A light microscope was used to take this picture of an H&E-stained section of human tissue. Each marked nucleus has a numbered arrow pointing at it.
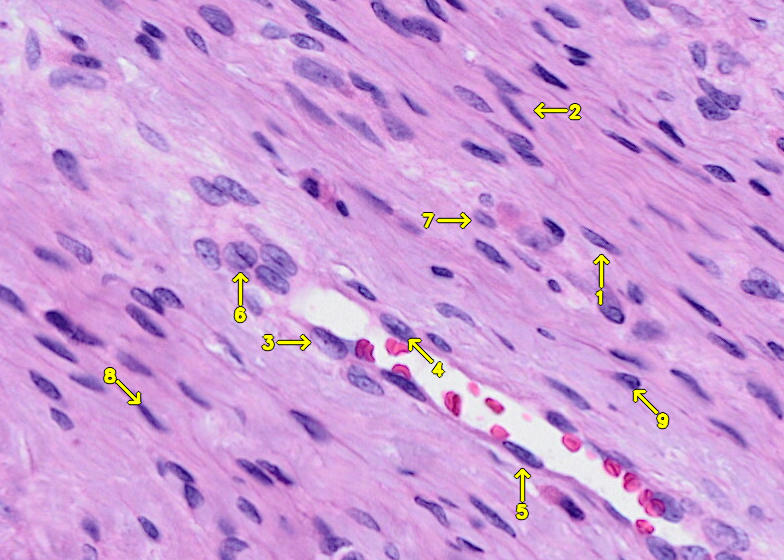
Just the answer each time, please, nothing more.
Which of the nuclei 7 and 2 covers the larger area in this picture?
2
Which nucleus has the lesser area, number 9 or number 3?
9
